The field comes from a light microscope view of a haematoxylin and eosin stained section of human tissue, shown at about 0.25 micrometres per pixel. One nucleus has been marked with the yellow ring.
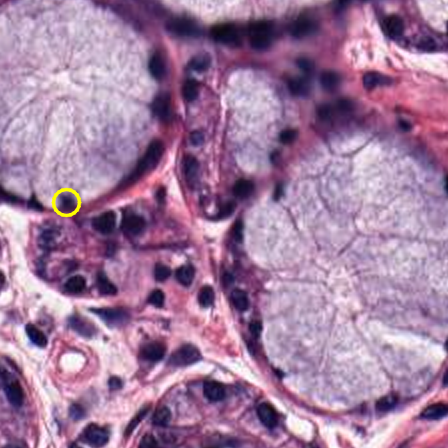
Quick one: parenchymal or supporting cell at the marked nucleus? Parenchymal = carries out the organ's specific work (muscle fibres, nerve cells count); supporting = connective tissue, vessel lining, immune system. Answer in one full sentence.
The marked nucleus is found in a parenchymal cell, namely a mucous gland cell.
